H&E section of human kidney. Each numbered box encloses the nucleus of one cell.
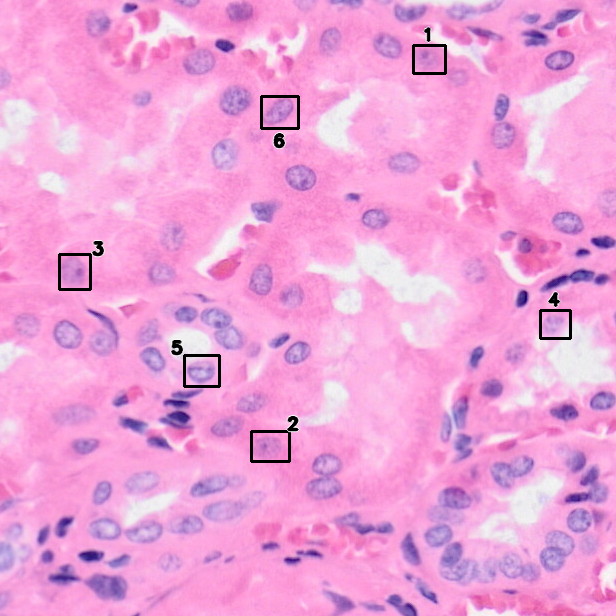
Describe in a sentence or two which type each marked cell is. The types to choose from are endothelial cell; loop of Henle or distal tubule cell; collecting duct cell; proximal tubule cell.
Cell 1 is a proximal tubule cell, cell 2 is a proximal tubule cell, cell 3 is a proximal tubule cell, cell 4 is a loop of Henle or distal tubule cell, cell 5 is a collecting duct cell and cell 6 is a proximal tubule cell.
